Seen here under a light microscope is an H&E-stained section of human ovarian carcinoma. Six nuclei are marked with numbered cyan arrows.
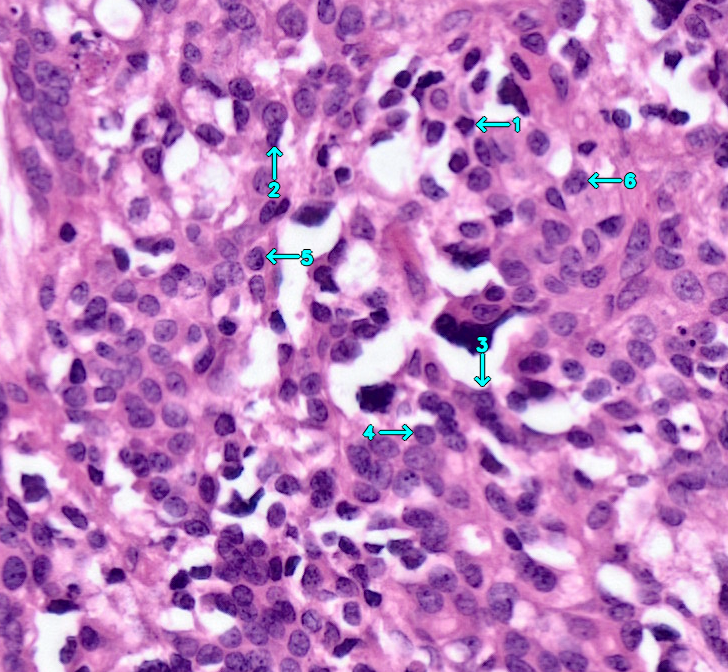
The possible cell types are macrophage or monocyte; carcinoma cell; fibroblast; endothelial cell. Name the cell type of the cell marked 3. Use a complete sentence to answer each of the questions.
The cell that is numbered 3 is a carcinoma cell.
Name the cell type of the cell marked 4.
It is as a carcinoma cell that the cell numbered 4 is identified.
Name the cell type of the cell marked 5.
The correct answer for cell 5 is a macrophage or monocyte.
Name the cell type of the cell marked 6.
The cell whose nucleus carries the number 6 is a macrophage or monocyte.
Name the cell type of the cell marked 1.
Marked with the number 1, this cell is a carcinoma cell.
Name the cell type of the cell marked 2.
In the tissue shown, cell 2 is a carcinoma cell.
